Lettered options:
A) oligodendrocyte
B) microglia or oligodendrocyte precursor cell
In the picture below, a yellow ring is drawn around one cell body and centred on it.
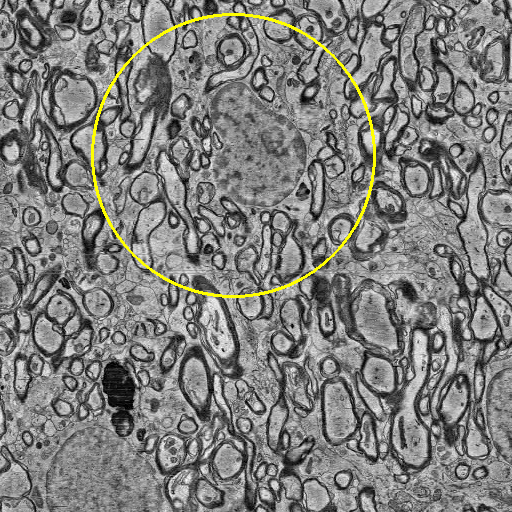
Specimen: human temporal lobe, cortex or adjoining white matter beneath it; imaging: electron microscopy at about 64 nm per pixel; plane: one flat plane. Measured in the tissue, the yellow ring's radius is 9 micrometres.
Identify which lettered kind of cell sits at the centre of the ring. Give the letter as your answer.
B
